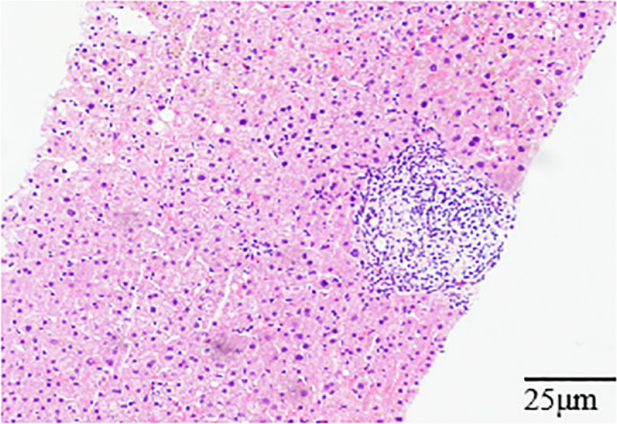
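The field is filled by large polygonal liver cells, the hepatocytes, each with a round, centrally placed dark purple nucleus and pink cytoplasm. They lie in cords separated by narrow clefts. On the right, a compact rounded cluster of small cells with dark, round nuclei sits among the liver cords, sharply set off from the surrounding pink parenchyma.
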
